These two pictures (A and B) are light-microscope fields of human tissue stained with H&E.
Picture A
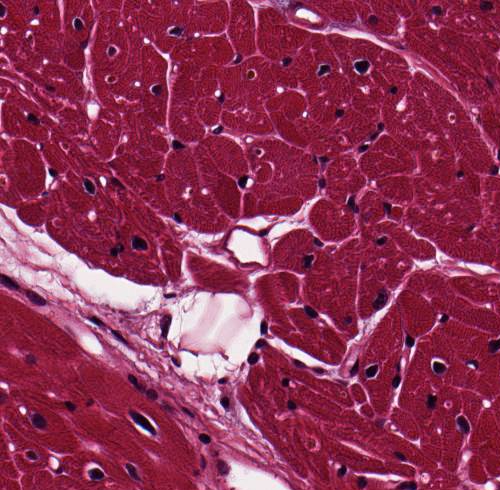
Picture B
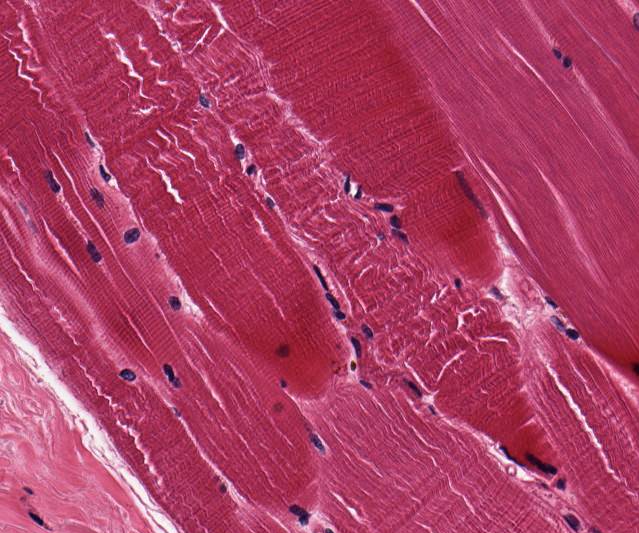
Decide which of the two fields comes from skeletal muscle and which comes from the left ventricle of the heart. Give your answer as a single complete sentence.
Picture A comes from the left ventricle of the heart; picture B comes from skeletal muscle.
